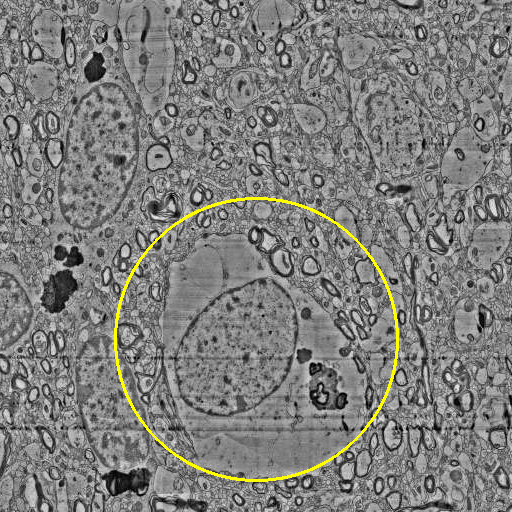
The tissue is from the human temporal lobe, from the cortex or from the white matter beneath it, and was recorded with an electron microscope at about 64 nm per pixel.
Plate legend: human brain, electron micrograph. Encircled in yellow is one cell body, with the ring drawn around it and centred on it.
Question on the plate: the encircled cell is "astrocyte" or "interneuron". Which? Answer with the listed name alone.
astrocyte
